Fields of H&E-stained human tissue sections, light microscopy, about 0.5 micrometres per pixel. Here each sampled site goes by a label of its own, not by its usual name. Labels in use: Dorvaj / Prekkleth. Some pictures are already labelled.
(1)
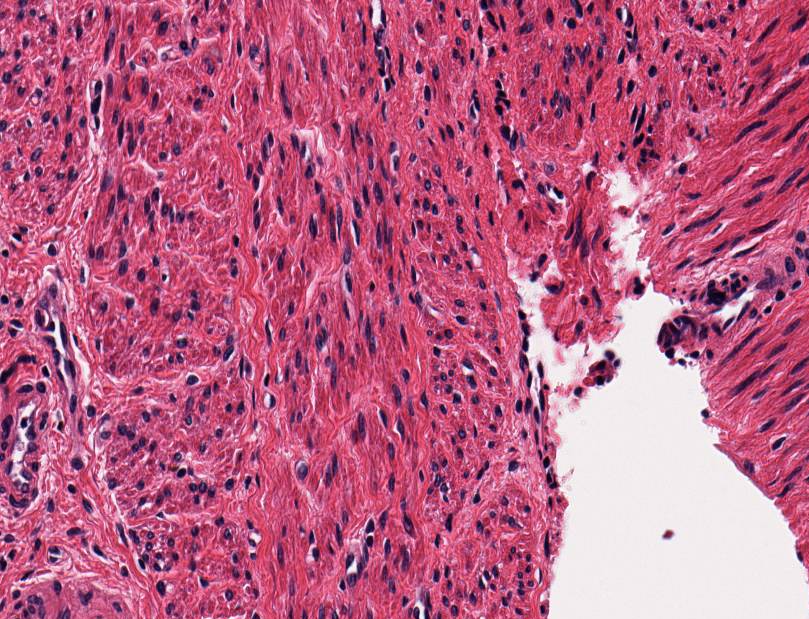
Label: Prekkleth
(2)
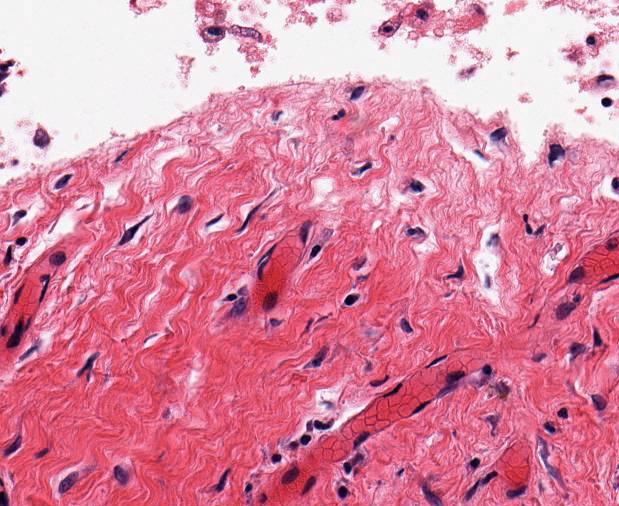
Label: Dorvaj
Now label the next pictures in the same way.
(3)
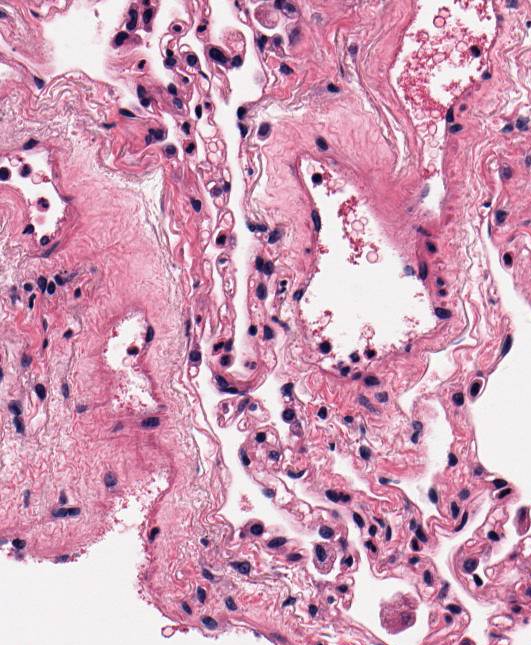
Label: Dorvaj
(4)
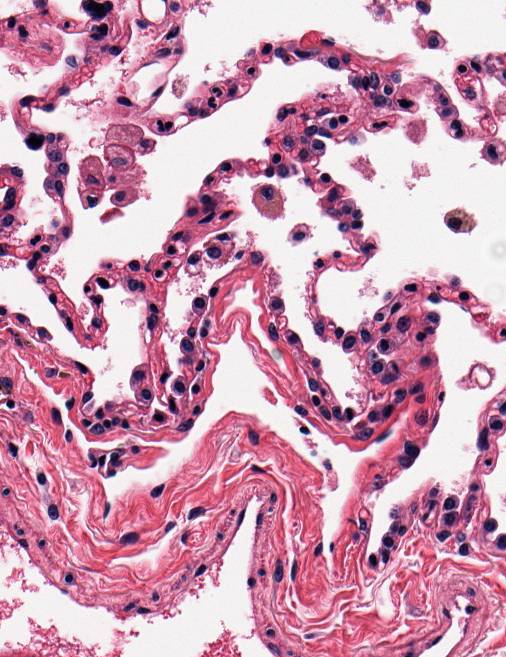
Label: Dorvaj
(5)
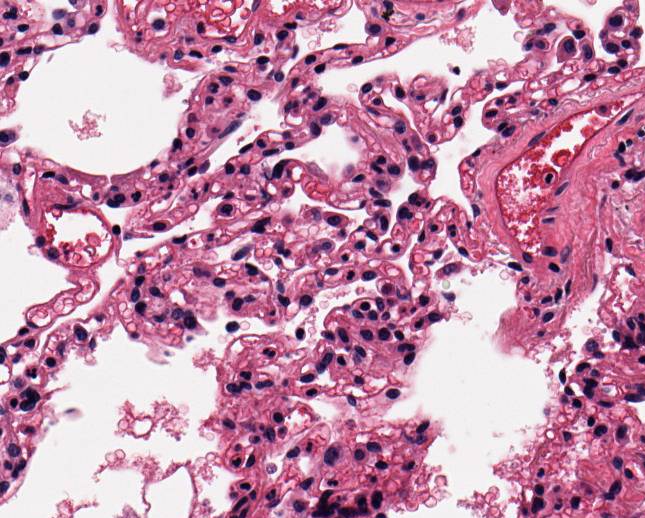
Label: Dorvaj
